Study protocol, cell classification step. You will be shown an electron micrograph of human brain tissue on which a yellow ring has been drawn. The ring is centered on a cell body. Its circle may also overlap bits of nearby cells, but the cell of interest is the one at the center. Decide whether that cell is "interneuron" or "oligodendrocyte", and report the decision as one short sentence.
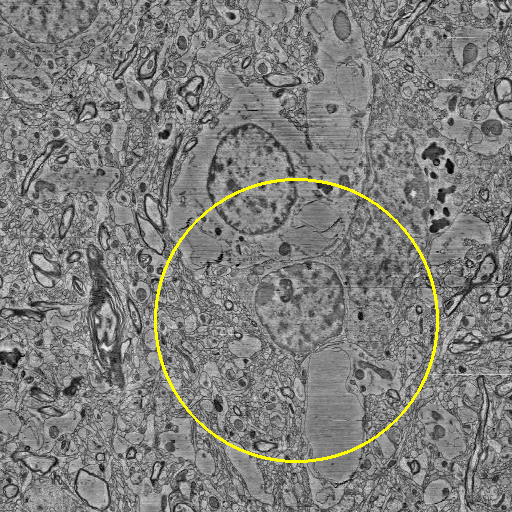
The marked cell is an oligodendrocyte.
